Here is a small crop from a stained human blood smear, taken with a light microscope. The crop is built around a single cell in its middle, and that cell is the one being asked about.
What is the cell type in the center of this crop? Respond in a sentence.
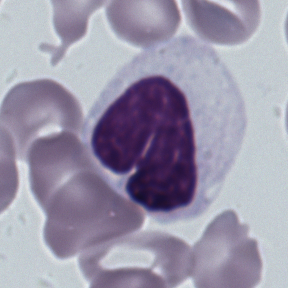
This crop's central cell is a band neutrophil.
